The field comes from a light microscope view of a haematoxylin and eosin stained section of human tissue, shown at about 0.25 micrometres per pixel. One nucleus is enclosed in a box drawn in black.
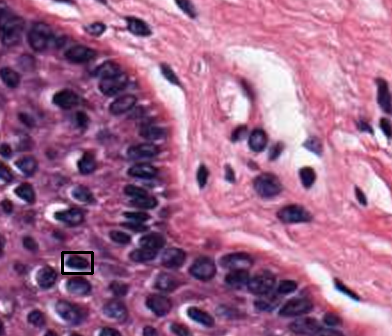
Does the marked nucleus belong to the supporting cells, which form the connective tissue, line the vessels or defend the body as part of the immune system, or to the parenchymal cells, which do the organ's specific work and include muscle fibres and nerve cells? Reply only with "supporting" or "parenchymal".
parenchymal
